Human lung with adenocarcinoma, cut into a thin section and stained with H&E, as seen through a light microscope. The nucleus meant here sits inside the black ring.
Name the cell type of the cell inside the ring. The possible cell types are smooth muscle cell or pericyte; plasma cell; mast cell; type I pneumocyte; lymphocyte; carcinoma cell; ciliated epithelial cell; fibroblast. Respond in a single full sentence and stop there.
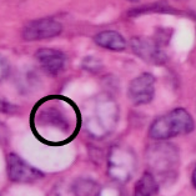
In this section of tissue, the cell inside the ring is a ciliated epithelial cell.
